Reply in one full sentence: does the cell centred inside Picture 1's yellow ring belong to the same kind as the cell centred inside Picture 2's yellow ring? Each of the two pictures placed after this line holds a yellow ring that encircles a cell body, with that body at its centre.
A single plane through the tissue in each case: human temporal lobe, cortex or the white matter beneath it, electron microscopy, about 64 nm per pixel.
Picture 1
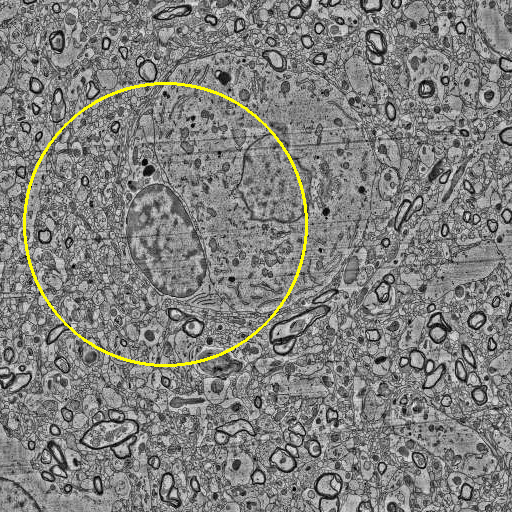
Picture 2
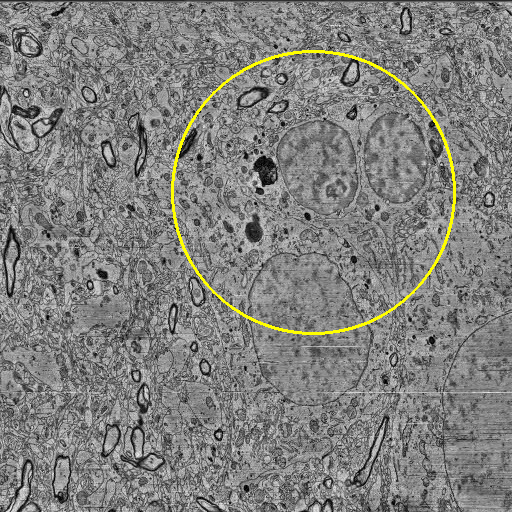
No, the ring-centred cells in Picture 1 and Picture 2 are of two separate kinds.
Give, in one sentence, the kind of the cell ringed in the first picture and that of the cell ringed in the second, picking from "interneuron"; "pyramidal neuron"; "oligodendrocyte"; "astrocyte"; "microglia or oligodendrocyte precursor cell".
For the first picture it is a microglial cell or oligodendrocyte precursor cell; for the second, an oligodendrocyte.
